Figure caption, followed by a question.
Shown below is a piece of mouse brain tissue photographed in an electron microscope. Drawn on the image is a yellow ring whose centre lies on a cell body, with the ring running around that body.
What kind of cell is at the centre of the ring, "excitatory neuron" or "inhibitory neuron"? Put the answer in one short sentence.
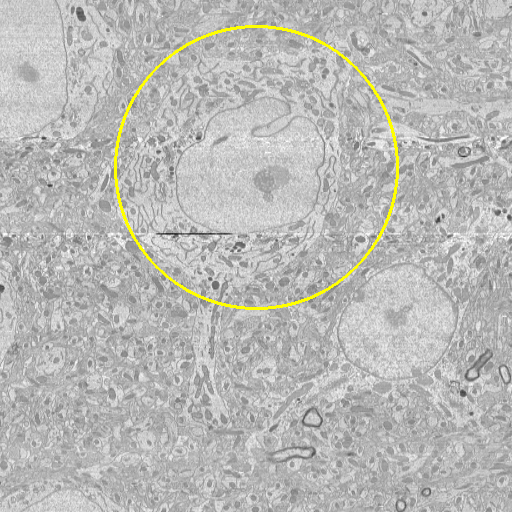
The ring marks the cell body of an inhibitory neuron.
